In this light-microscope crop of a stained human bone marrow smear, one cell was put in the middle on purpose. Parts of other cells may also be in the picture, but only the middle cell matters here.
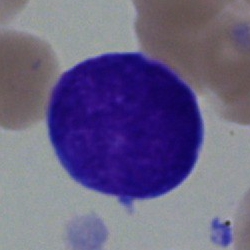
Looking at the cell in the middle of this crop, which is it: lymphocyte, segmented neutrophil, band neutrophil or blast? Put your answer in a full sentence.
The crop centres on a single cell, and that cell is a blast.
